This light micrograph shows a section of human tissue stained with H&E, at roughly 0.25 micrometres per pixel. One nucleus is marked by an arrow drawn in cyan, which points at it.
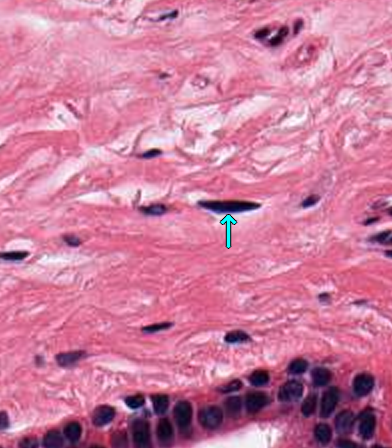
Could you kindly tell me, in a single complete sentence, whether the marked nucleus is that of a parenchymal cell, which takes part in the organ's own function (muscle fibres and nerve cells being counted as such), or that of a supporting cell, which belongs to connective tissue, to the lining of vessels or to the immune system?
A supporting cell is what the marked nucleus belongs to.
